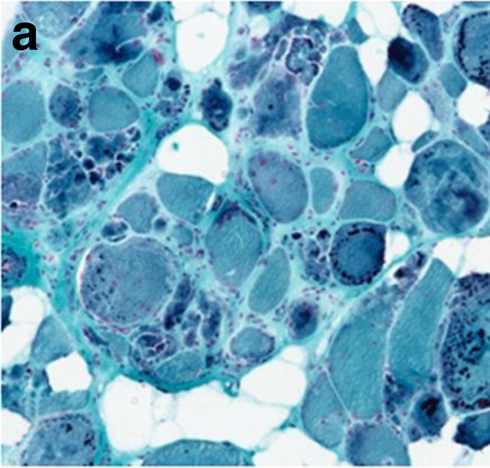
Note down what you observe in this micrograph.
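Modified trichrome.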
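This is skeletal muscle in cross-section showing prominent structural changes, with muscle fibers of strikingly different sizes and areas of fibrofatty tissue replacement. Empty white fat cells and green connective tissue lie between the fibers. Many fibers contain collections of small dark blue-black granular cytoplasmic bodies, and some hold larger, irregular darker accumulations of material.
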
